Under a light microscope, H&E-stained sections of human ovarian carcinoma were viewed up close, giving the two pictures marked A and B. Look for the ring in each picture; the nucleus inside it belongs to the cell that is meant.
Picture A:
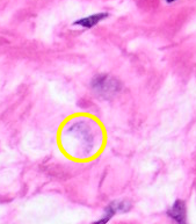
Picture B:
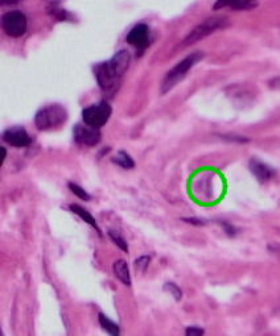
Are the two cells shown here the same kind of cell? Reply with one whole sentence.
Yes; the cells in both pictures are fibroblasts.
